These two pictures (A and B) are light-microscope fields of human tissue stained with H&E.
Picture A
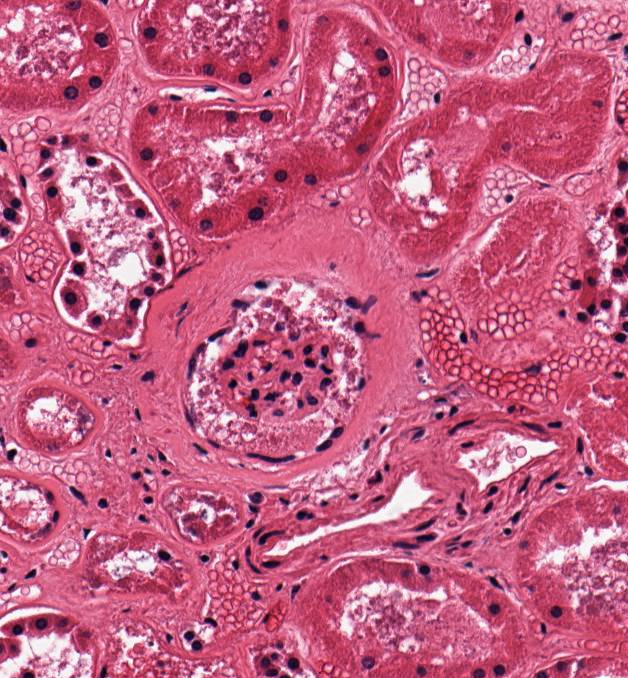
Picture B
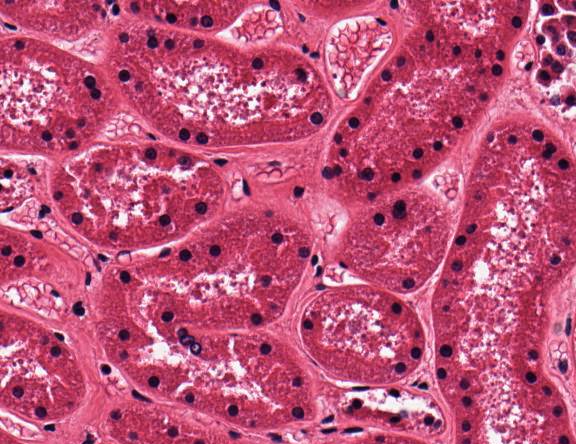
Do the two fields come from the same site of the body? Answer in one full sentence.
Yes, they come from the same site of the body: both come from the renal cortex.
